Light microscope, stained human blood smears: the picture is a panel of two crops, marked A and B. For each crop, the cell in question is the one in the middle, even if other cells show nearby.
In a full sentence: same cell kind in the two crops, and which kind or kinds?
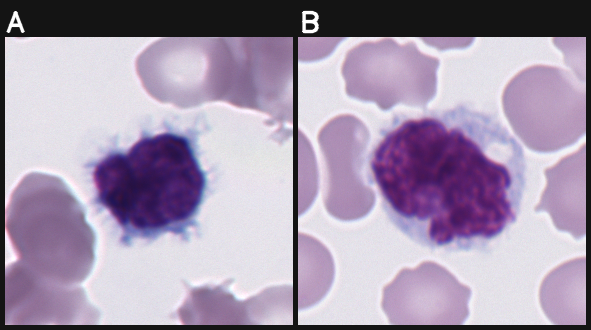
Yes, hairy cells are at the centre in both crops.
